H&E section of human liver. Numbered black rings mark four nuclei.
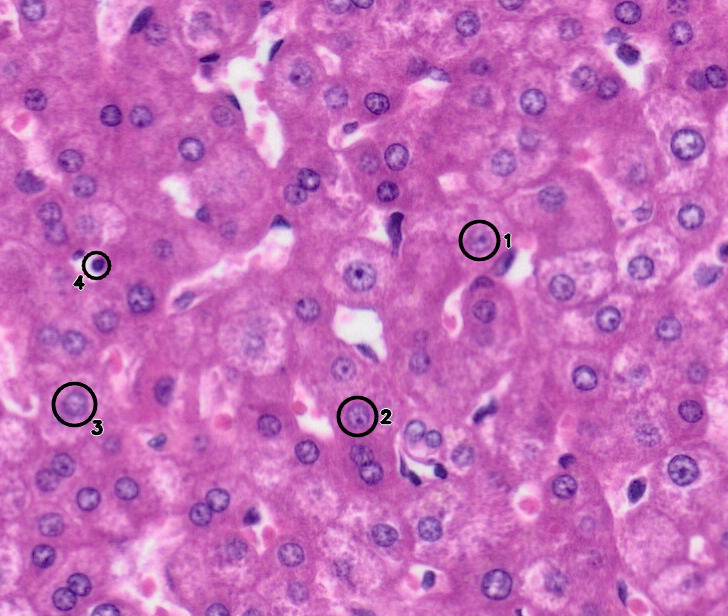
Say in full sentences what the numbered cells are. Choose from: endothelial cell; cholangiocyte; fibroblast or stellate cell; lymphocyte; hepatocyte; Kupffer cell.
Cell 1 is a hepatocyte, cell 2 is a hepatocyte, cell 3 is a hepatocyte and cell 4 is a lymphocyte.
